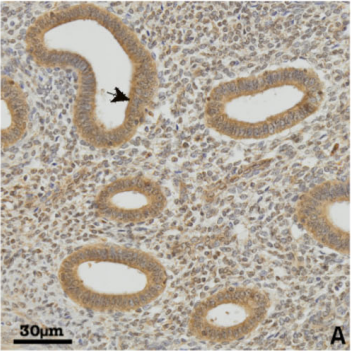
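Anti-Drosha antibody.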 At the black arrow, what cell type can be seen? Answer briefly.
Luminal columnar epithelial cells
